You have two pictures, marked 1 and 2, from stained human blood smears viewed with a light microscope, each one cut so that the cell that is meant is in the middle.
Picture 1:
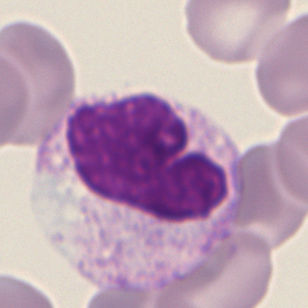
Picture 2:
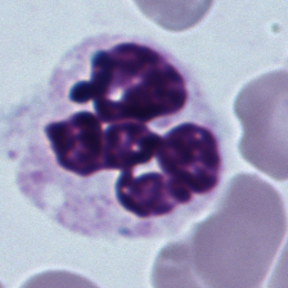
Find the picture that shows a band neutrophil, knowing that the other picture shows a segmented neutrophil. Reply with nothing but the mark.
1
